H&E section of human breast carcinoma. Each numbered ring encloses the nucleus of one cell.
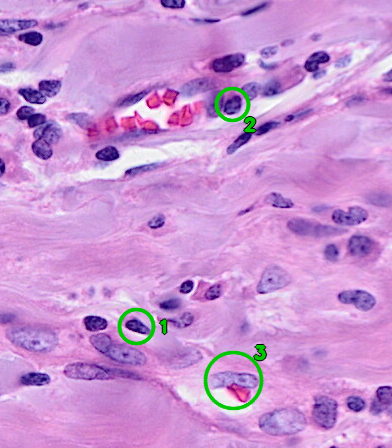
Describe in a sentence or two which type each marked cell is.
Cells 1 and 2 are lymphocytes. Cell 3 is an endothelial cell.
